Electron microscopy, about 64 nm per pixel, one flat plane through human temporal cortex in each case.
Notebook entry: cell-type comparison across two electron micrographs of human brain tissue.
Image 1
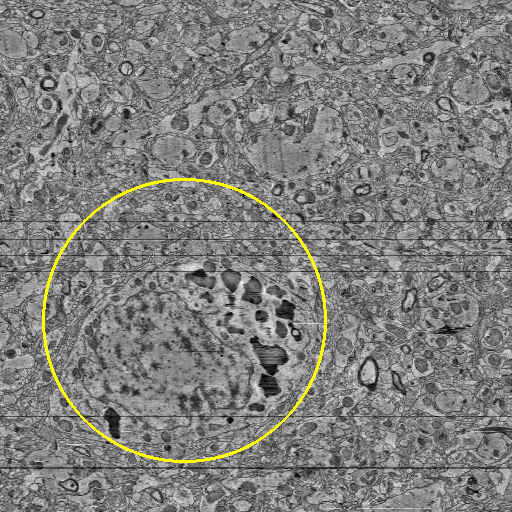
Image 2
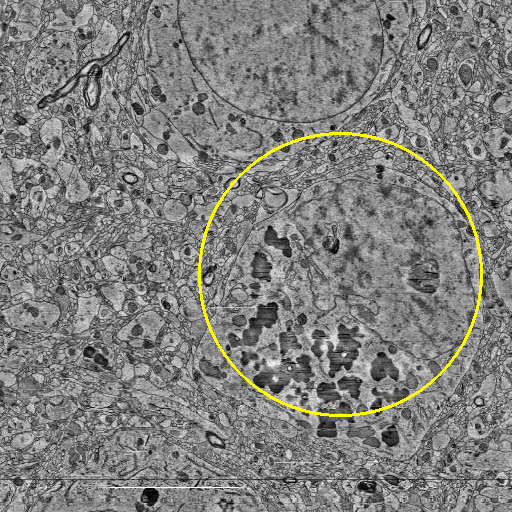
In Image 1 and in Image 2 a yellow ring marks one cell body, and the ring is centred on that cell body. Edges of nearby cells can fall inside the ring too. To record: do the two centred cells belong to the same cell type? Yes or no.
yes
